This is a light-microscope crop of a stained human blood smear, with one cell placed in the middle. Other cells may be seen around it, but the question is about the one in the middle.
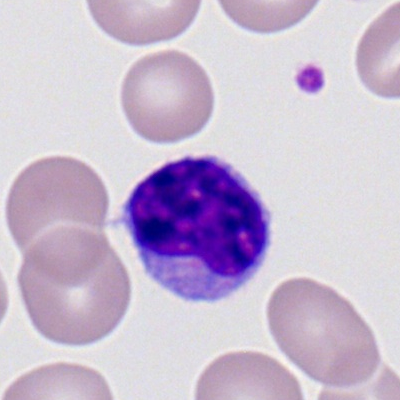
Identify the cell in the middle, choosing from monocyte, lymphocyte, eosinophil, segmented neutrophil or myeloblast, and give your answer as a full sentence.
The cell at the middle of the frame should be recorded as a lymphocyte.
